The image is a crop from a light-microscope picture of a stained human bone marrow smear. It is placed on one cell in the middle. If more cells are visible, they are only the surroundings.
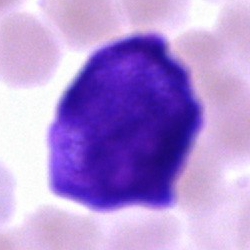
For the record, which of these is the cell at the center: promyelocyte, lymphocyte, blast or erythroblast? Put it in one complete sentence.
By classification, the middle cell of this crop is a blast.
